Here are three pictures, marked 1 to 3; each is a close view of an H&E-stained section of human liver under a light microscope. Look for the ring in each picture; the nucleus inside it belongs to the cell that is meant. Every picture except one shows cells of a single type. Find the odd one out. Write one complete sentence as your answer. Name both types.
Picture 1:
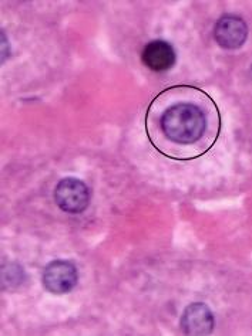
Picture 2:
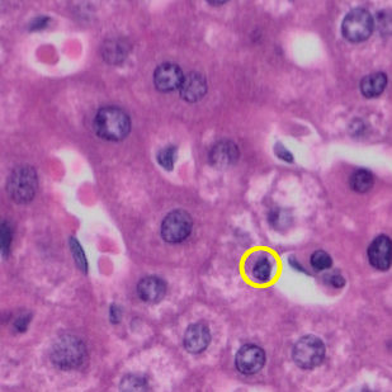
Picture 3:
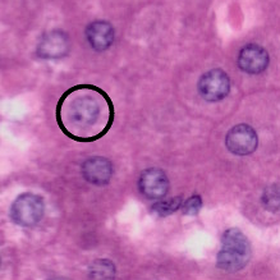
Picture 2 differs, because its cell is a “fibroblast or stellate cell” and the rest are hepatocytes.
